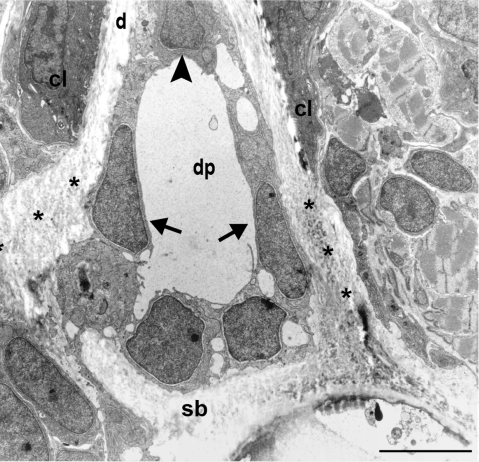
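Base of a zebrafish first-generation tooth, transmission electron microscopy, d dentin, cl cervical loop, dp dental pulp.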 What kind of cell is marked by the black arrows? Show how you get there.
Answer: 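The arrows point to elongated cells with large nuclei lining the inner side of the pale matrix. The cells sit between the pulp space and the mineralized wall. That points to this answer: scleroblasts.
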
